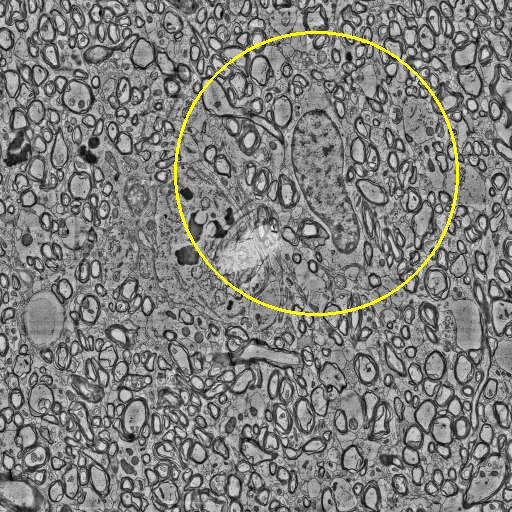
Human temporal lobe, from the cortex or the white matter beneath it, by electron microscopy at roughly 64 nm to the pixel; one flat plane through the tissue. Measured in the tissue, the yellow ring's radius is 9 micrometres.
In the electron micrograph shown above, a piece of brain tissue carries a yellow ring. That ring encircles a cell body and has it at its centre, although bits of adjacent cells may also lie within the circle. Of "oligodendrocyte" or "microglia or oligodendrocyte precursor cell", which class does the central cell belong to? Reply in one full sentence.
The cell body at the centre of the yellow ring belongs to a microglial cell or oligodendrocyte precursor cell.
